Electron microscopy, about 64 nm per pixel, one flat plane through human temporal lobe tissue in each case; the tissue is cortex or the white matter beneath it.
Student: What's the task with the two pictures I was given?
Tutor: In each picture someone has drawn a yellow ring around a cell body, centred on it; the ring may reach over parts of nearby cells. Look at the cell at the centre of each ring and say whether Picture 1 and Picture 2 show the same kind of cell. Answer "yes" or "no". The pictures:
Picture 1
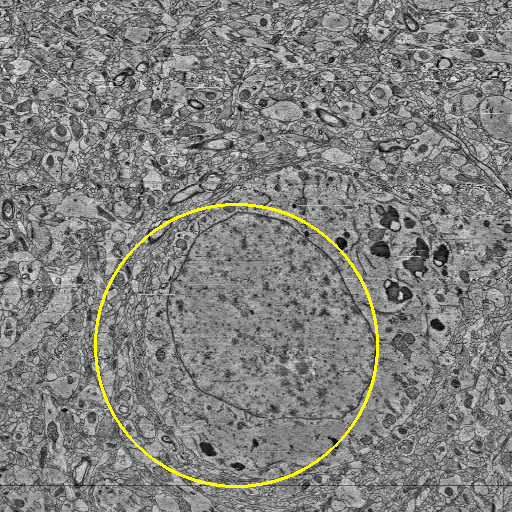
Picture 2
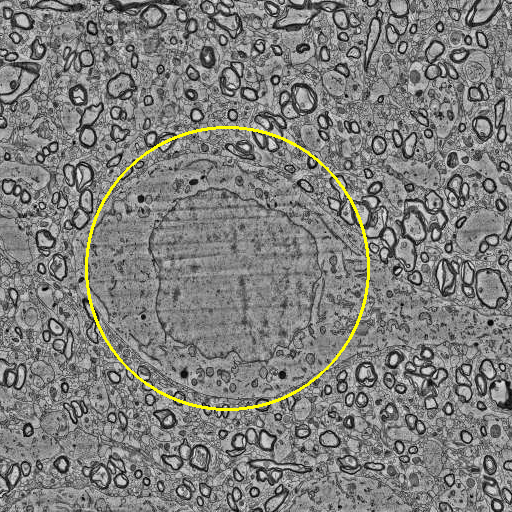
yes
